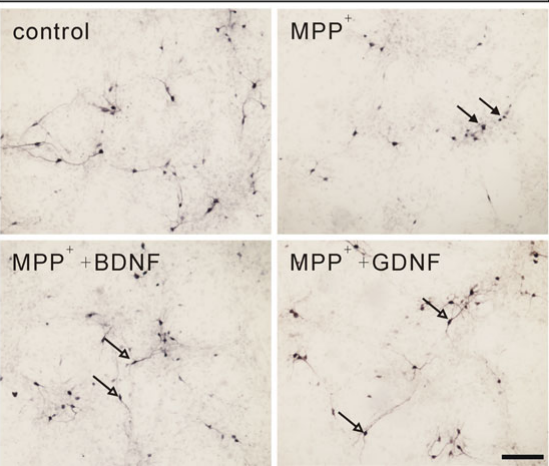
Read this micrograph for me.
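In some fields there are fewer stained cells, and some cell bodies are rounded and clumped together with few or no processes, which suggests they are dying. Other cells keep a clear cell body with long, intact processes and look healthy.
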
